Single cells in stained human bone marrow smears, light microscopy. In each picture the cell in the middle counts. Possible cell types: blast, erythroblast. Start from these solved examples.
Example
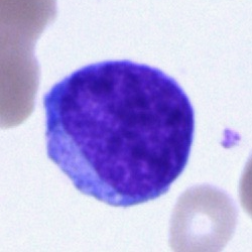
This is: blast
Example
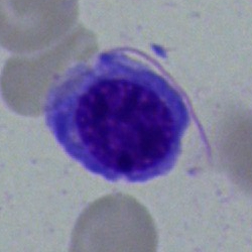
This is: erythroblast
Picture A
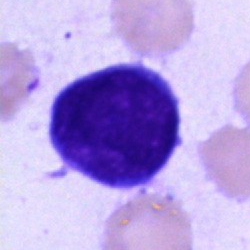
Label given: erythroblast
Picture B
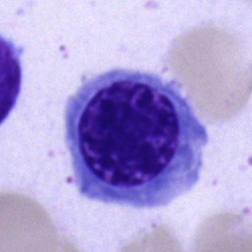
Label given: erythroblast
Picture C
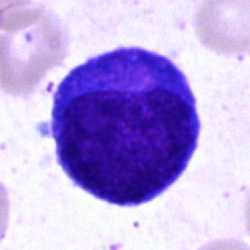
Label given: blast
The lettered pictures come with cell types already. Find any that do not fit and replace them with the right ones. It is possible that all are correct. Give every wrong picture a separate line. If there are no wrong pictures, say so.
A: blast, not erythroblast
